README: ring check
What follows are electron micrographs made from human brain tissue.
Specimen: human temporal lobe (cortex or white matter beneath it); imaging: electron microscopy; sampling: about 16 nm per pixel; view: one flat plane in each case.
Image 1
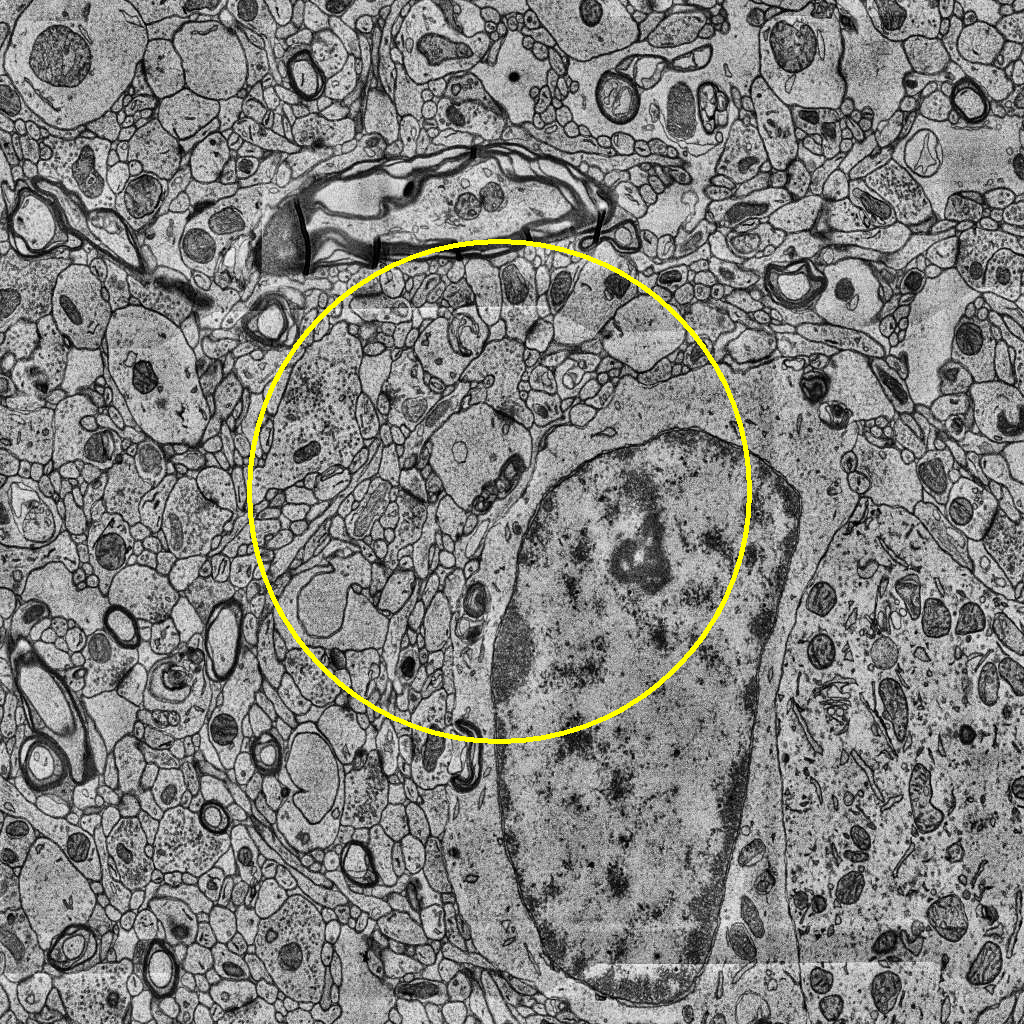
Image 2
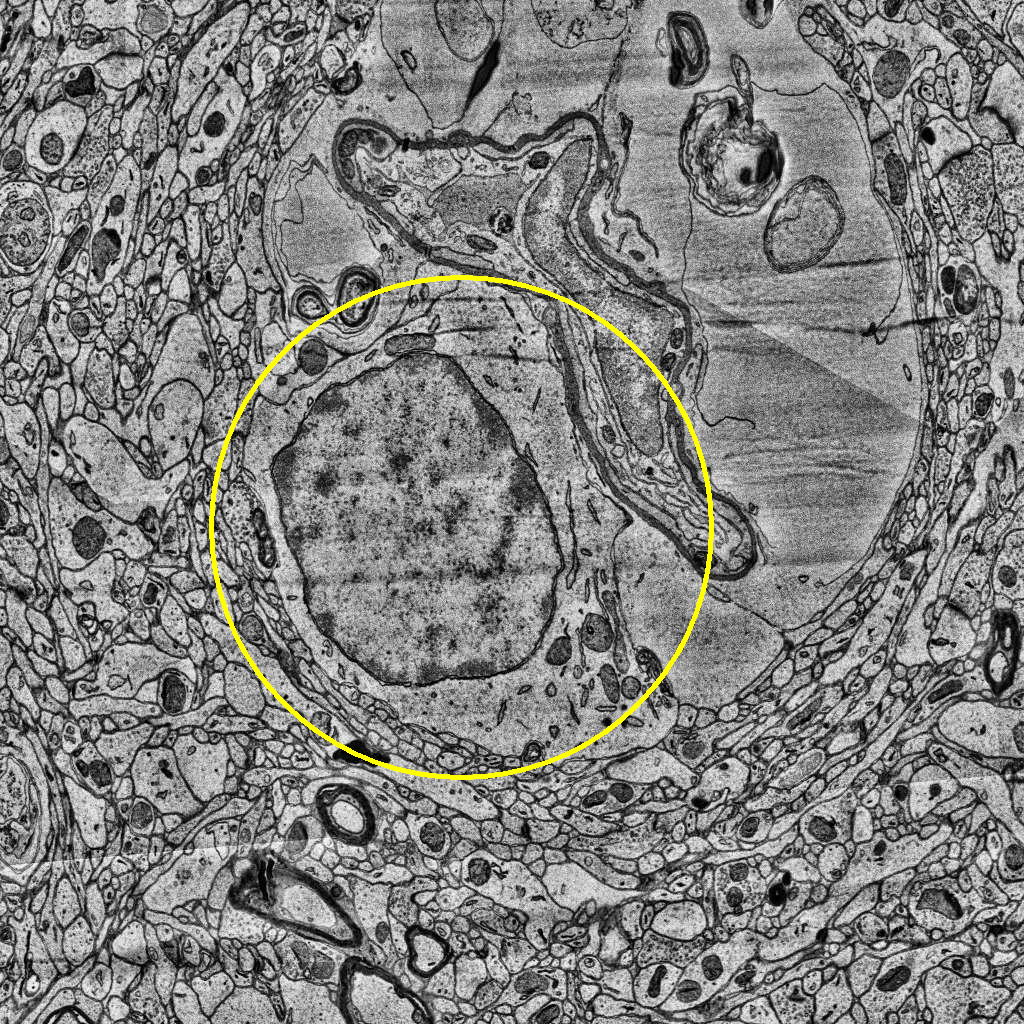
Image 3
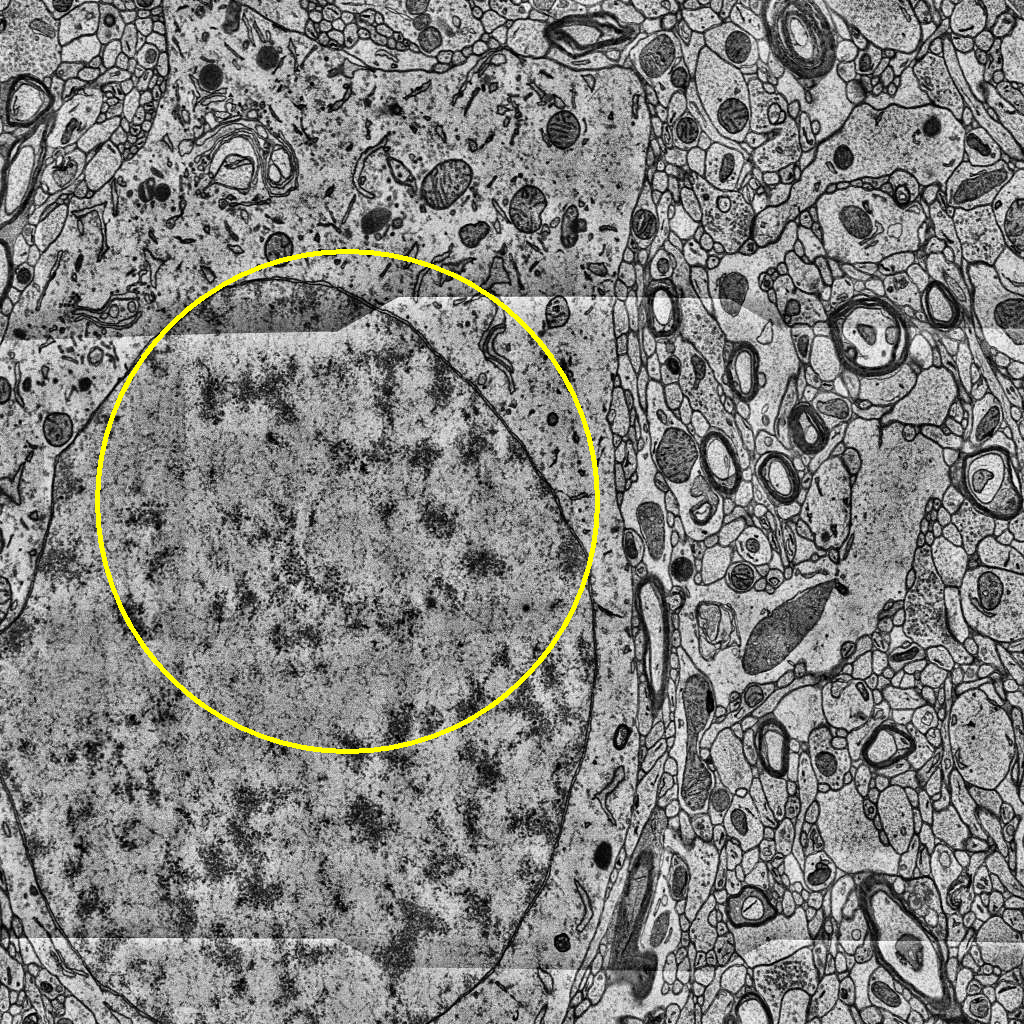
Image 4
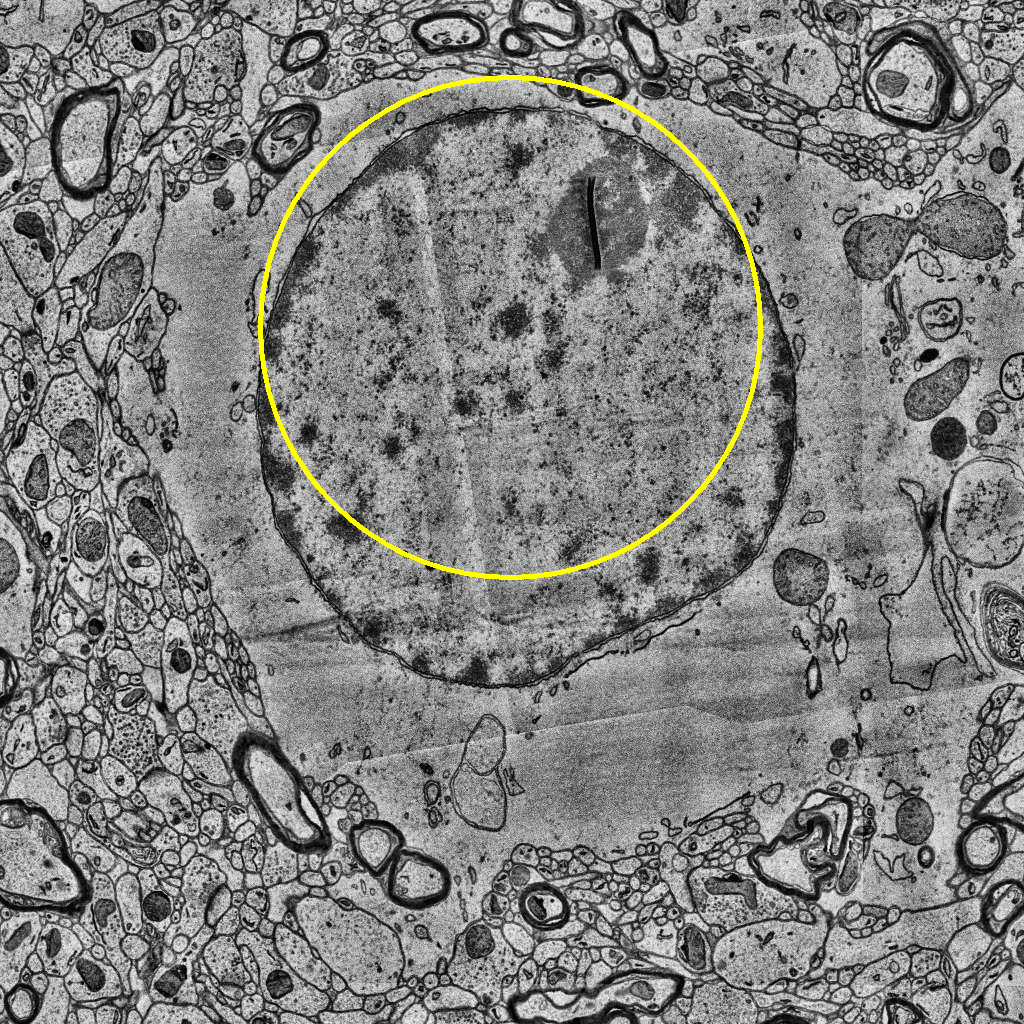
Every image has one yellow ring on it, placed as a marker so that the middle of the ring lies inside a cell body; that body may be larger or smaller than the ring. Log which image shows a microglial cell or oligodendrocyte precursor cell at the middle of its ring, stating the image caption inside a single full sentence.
Image 2 is where the cell at the ring's centre matches the one asked for.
